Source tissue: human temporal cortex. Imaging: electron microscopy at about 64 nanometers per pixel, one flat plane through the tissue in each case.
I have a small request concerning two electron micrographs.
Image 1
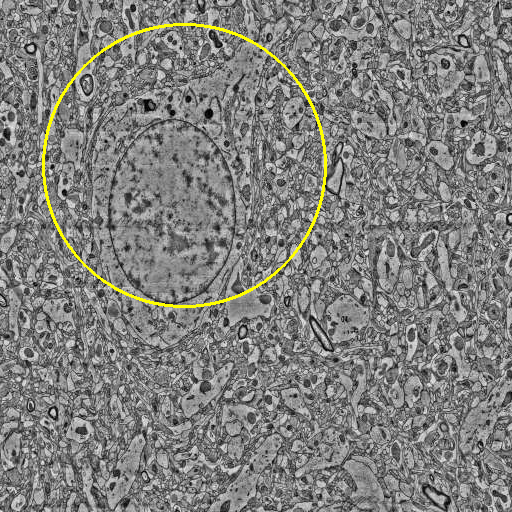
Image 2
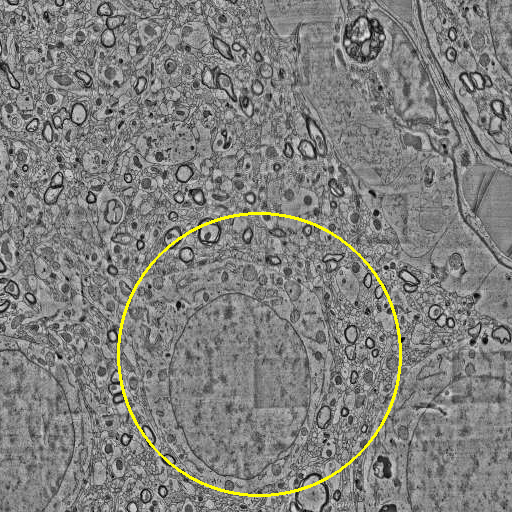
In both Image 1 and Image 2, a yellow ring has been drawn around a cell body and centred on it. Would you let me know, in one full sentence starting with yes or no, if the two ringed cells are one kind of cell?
Yes, the cells ringed in Image 1 and Image 2 are one kind of cell.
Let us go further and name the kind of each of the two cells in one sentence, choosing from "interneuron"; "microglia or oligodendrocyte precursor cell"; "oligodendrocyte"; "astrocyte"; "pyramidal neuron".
Both pictures show a pyramidal neuron at the centre of the ring.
